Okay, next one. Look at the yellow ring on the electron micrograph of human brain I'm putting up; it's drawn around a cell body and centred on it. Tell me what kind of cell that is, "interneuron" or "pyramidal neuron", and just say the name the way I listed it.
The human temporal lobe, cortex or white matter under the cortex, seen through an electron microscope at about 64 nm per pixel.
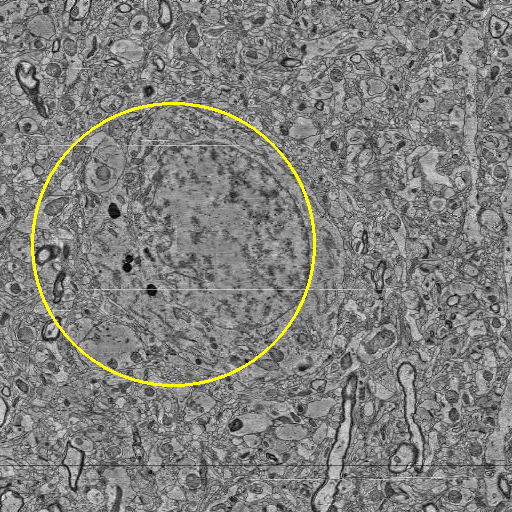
interneuron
